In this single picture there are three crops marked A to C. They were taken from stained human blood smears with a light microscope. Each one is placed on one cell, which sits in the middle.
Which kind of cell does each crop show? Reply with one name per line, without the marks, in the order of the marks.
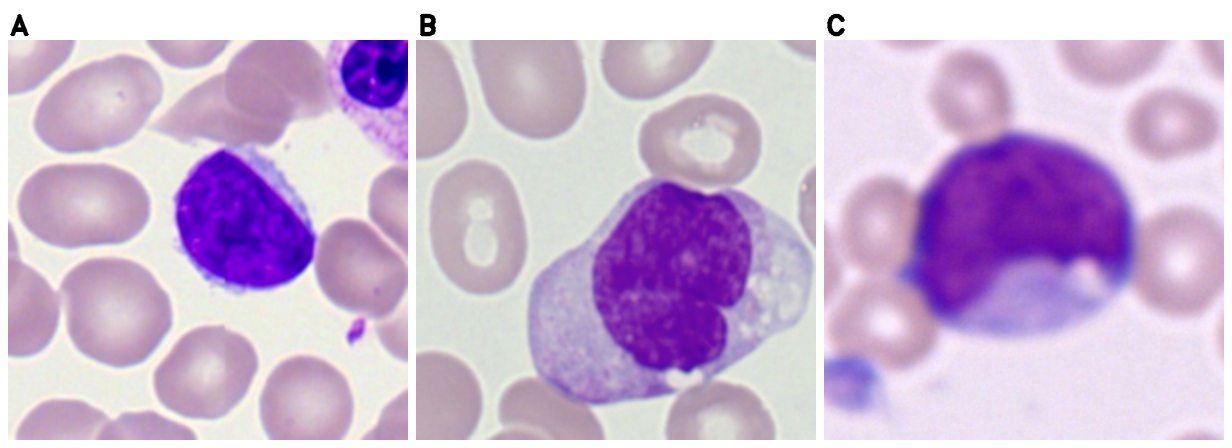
lymphocyte
monocyte
myeloblast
